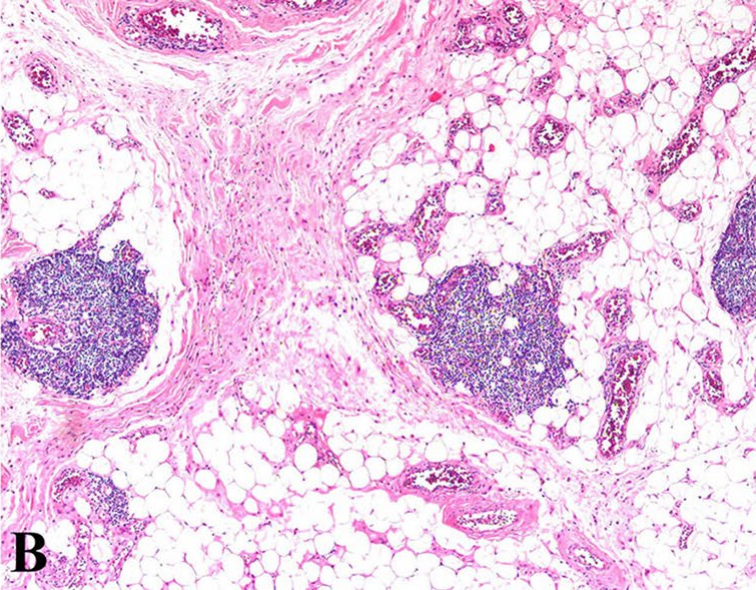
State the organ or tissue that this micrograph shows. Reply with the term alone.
fat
